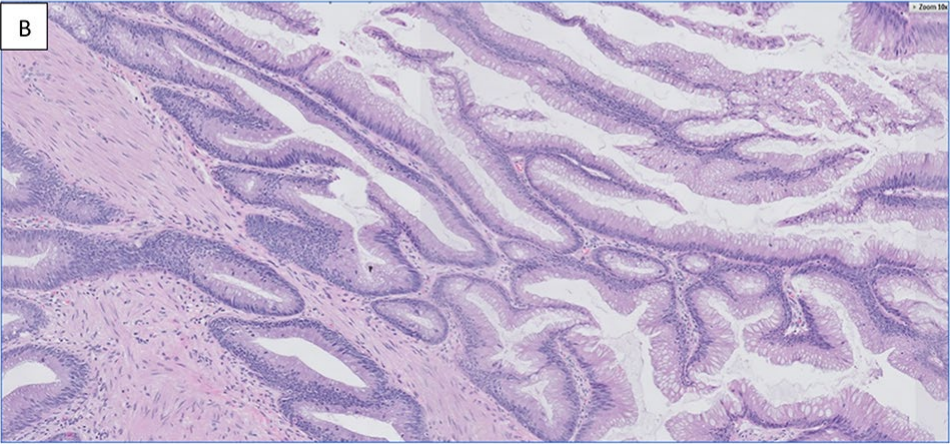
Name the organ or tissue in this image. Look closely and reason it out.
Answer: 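Tall columnar cells with pale, clear apical cytoplasm line the folds. Thin fibrovascular cores lie between the epithelial layers.
Conclusion: mucinous epithelium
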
